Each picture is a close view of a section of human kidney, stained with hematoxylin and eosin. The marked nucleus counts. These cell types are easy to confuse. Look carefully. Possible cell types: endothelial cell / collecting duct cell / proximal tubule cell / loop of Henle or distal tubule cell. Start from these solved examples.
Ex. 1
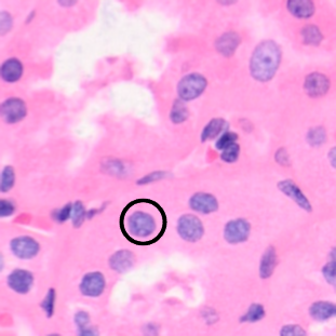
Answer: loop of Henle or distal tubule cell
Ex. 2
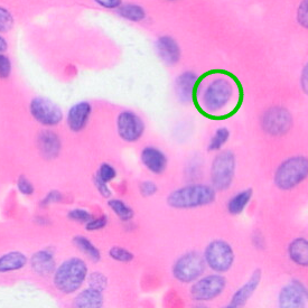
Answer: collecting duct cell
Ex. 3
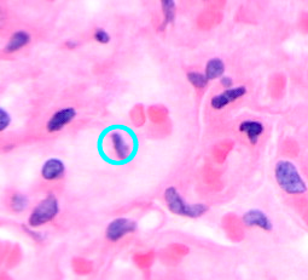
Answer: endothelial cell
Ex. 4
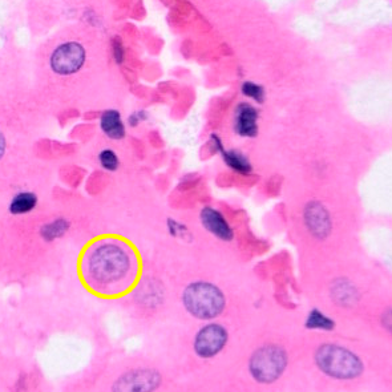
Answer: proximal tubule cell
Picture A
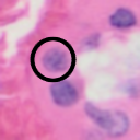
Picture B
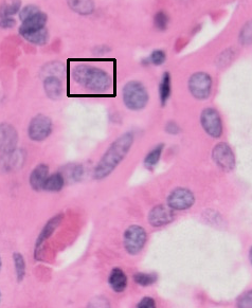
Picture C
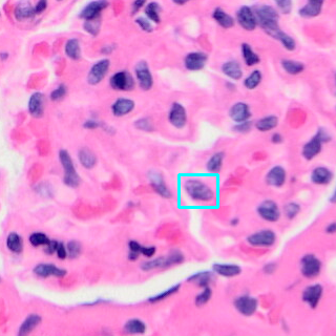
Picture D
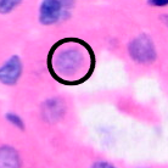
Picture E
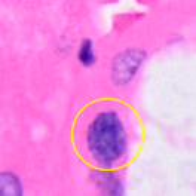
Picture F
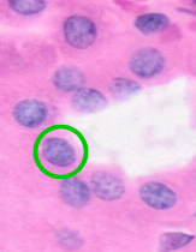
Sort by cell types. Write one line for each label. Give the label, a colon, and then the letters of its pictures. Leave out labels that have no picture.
endothelial cell: C
collecting duct cell: B
loop of Henle or distal tubule cell: A, D, E, F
